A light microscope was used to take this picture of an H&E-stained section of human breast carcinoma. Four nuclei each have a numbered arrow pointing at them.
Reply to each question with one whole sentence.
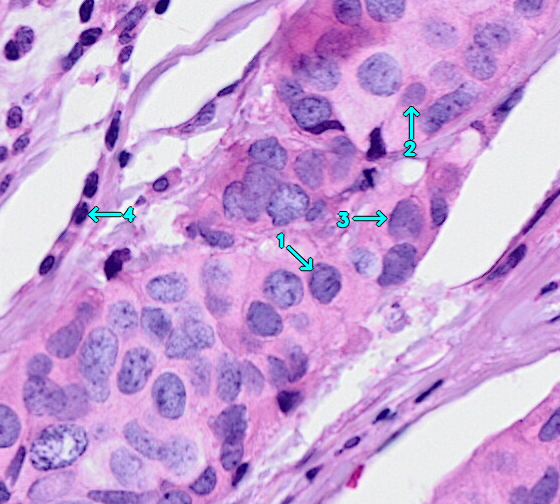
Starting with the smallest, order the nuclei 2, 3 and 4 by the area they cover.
The order from the smallest nucleus to the largest is 4, 2, 3.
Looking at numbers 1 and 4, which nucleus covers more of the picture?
At about 3 times the area of nucleus 4, nucleus 1 is the larger of the two.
